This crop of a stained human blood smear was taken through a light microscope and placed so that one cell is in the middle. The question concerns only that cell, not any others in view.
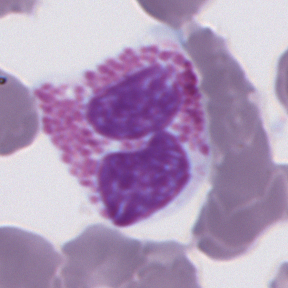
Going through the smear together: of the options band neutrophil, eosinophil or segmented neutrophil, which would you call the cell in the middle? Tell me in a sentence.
The cell featured at the centre of this crop is an eosinophil.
